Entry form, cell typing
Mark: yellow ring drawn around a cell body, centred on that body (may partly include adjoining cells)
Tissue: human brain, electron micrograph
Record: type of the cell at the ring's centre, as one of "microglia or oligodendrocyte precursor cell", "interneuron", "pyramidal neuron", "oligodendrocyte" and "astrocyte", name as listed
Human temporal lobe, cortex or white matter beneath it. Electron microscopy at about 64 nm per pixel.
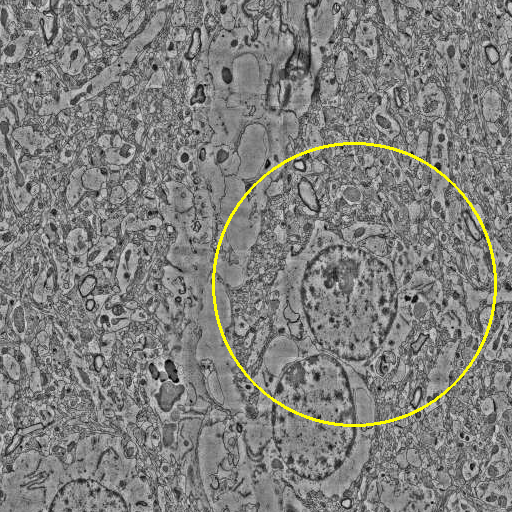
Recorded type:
astrocyte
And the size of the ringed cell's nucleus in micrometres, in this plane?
About 7 micrometres by about 6 micrometres in this plane.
